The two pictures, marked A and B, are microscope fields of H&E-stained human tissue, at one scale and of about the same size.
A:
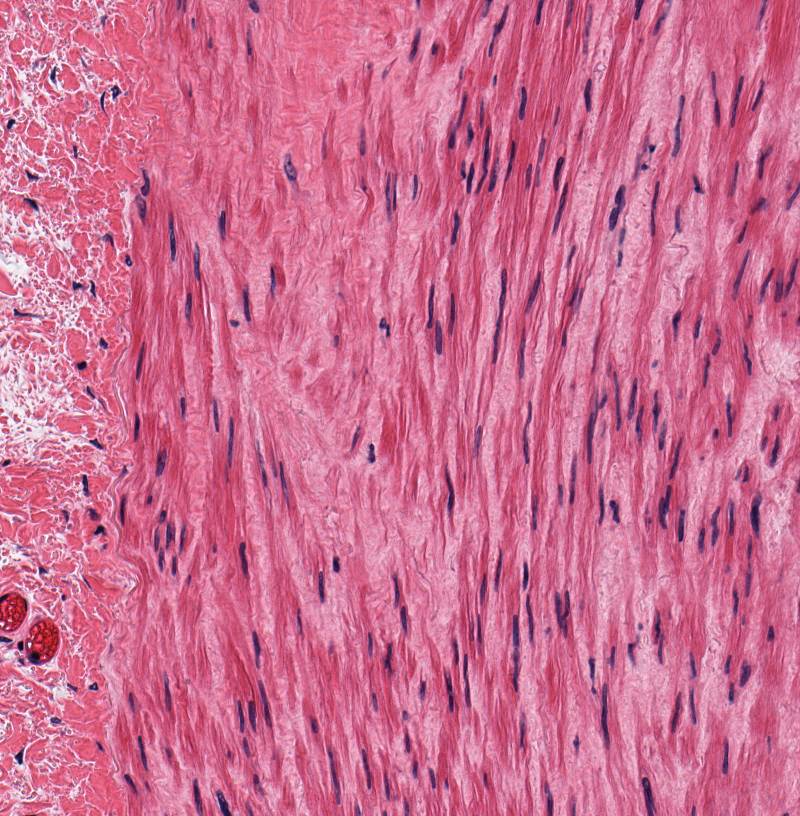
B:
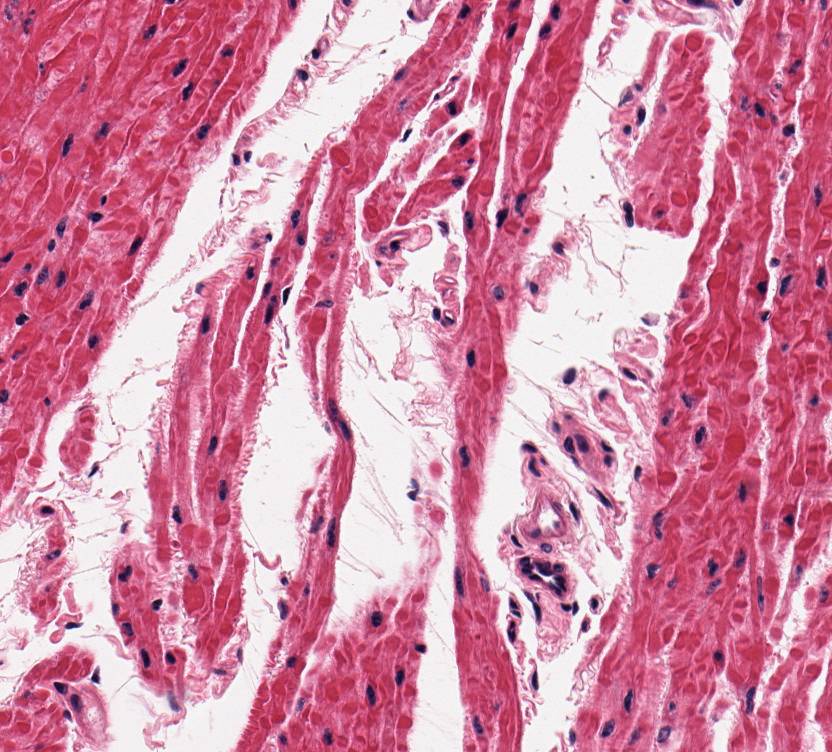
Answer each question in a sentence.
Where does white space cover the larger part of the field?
Field B has more white space.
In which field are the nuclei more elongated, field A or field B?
On the whole the nuclei of field A are more drawn out than those of field B.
